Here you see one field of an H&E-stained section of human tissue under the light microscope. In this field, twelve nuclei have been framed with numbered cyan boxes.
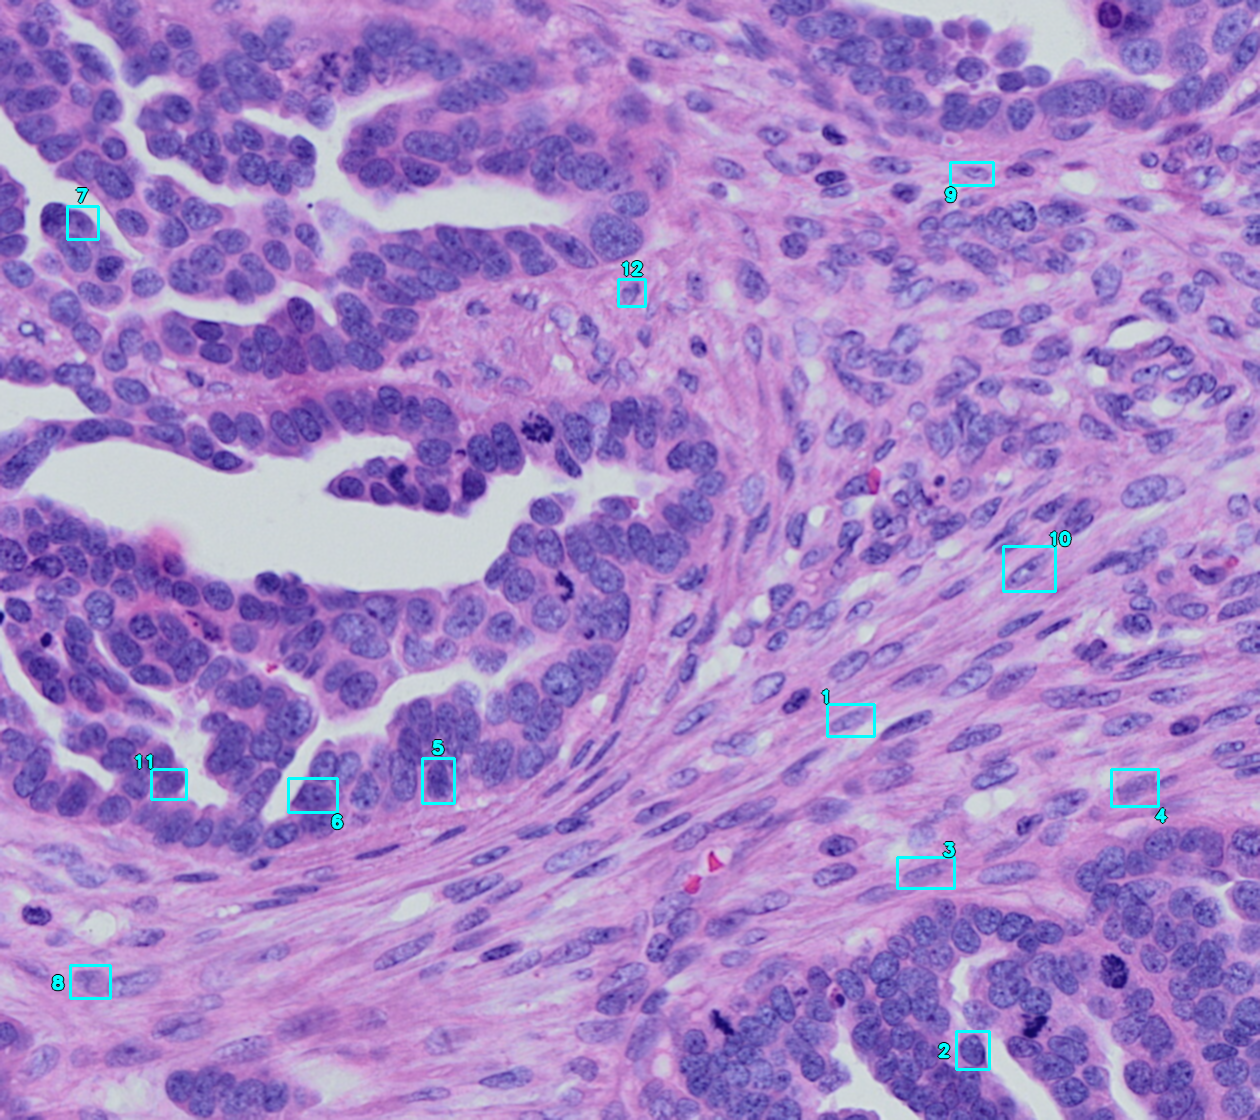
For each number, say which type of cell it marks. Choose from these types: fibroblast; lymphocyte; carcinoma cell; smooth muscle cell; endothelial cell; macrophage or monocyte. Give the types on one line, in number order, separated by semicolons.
fibroblast; carcinoma cell; fibroblast; fibroblast; carcinoma cell; carcinoma cell; carcinoma cell; fibroblast; fibroblast; fibroblast; carcinoma cell; fibroblast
